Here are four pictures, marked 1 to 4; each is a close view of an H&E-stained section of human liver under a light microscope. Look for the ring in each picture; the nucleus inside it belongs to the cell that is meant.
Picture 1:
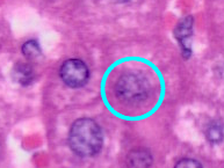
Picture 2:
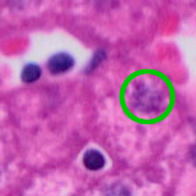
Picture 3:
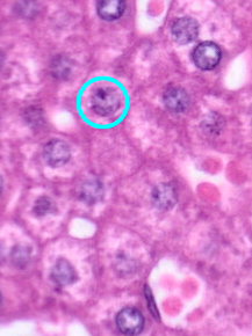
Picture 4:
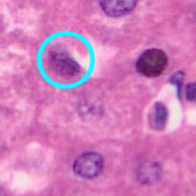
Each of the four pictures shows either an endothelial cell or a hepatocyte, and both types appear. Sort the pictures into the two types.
1: hepatocyte
2: hepatocyte
3: hepatocyte
4: endothelial cell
